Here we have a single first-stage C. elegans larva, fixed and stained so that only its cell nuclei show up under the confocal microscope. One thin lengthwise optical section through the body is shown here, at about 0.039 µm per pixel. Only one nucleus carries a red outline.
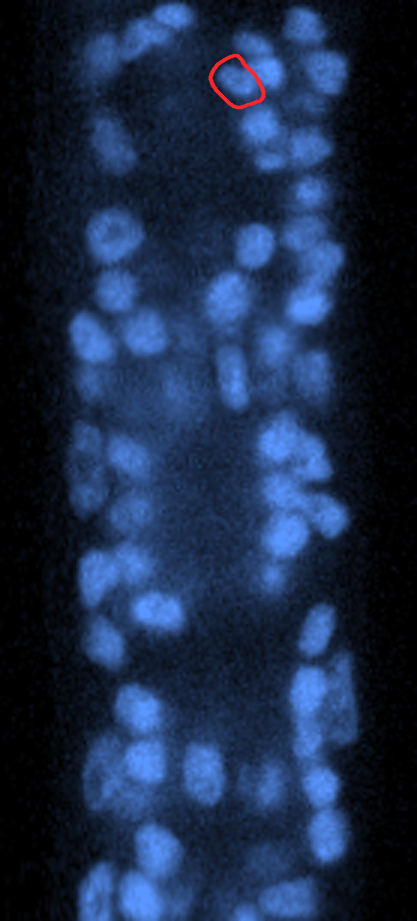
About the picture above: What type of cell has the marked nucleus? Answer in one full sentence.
It belongs to a pharyngeal muscle cell.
